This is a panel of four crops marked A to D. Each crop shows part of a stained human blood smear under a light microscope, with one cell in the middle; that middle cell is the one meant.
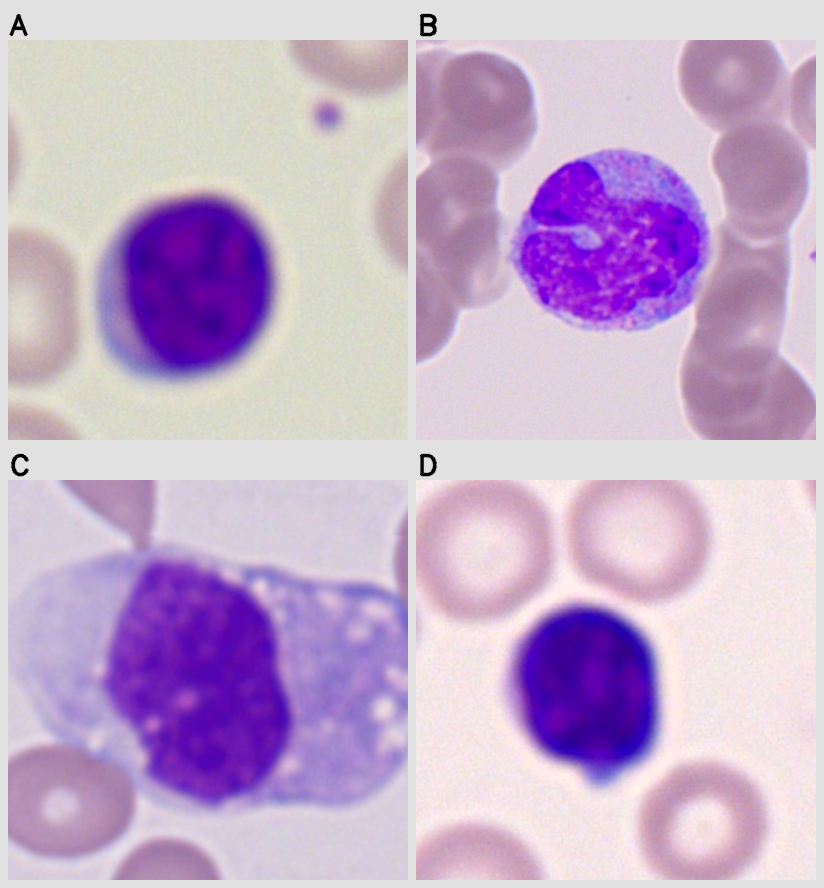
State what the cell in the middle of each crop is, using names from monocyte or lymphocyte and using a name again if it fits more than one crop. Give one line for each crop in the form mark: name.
A: lymphocyte
B: monocyte
C: monocyte
D: lymphocyte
